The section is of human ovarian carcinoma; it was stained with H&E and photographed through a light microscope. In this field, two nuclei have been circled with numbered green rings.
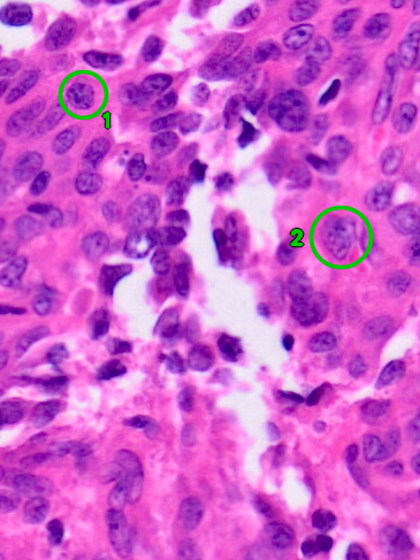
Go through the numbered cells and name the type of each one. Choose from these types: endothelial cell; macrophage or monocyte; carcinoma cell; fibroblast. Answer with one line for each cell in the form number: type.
1: macrophage or monocyte
2: endothelial cell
